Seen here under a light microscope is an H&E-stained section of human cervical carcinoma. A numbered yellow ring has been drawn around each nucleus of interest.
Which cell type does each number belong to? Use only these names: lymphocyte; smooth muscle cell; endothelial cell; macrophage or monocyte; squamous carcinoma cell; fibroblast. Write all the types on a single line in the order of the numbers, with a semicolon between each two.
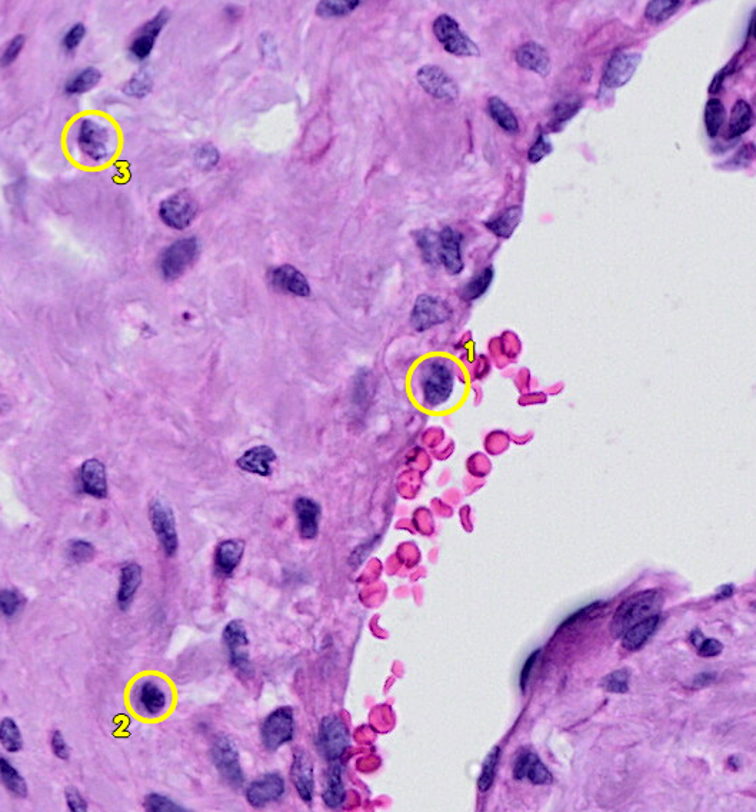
endothelial cell; lymphocyte; macrophage or monocyte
